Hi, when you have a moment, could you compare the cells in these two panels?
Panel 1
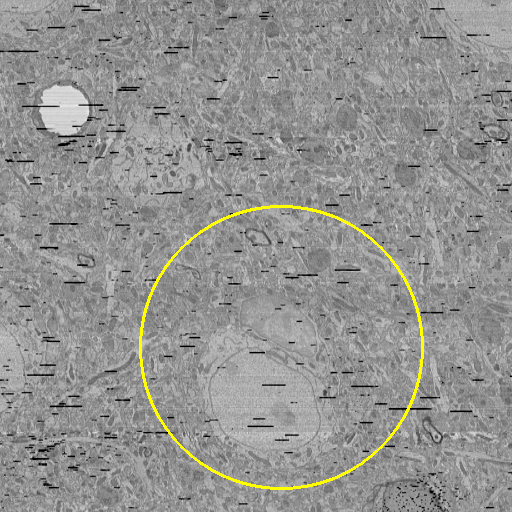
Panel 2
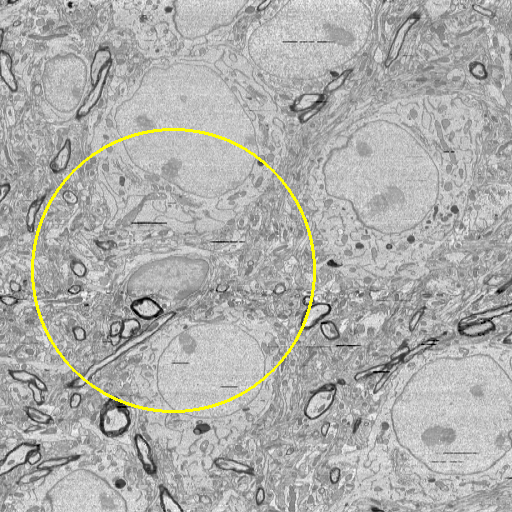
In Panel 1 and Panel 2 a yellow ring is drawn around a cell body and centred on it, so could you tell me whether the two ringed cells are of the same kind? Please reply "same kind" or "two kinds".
same kind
